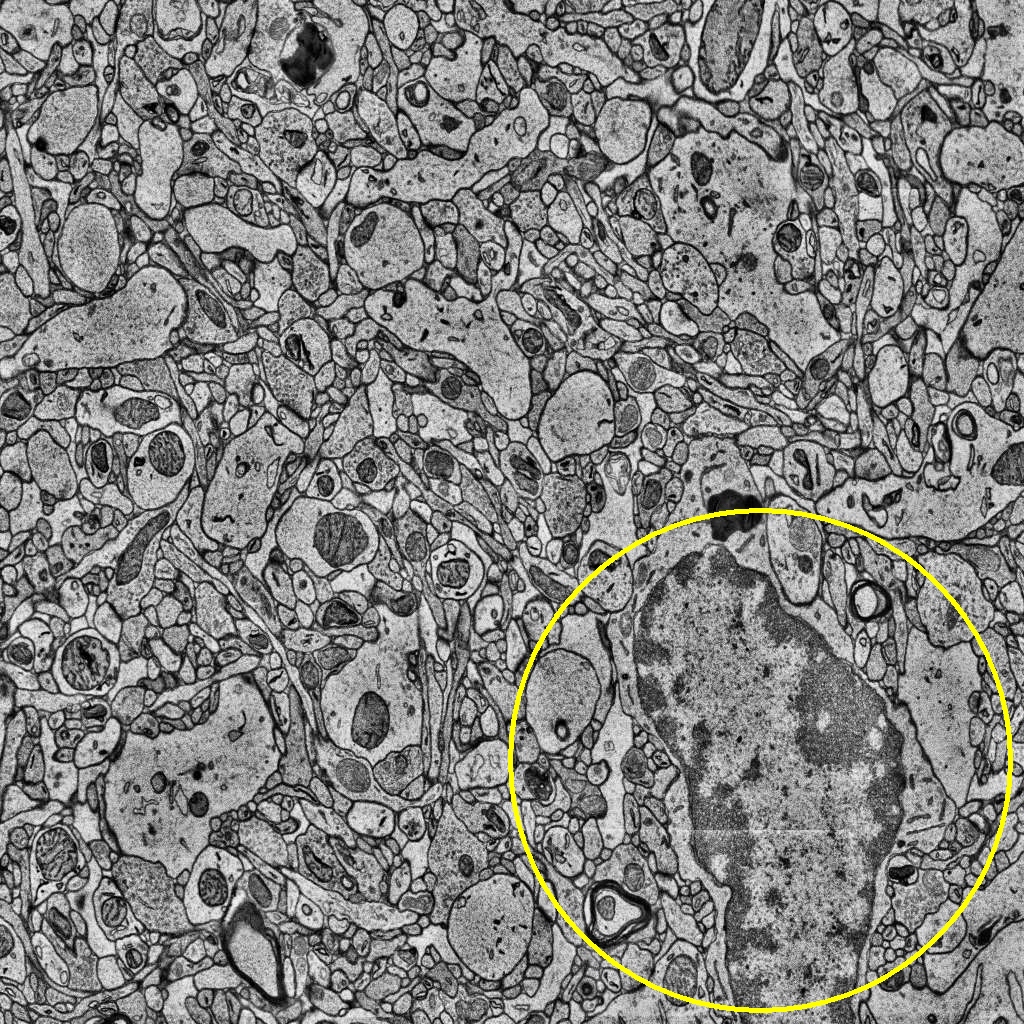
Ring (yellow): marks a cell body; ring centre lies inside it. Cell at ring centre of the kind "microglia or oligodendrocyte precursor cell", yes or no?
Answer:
yes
